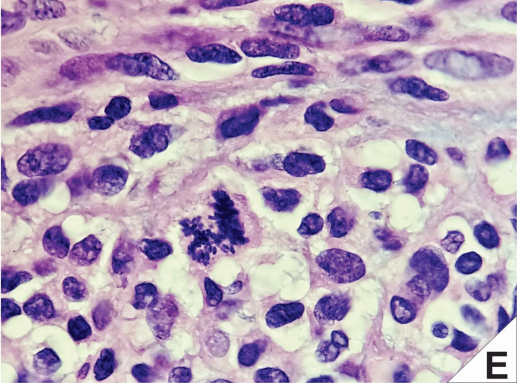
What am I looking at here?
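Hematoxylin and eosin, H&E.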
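This high-power field shows tumour cells whose nuclei are markedly pleomorphic, varying widely in size and shape and staining a dark purple. Near the centre lies an atypical mitotic figure, the chromosomes clumped in an irregular dark mass rather than a neat plate. In the lower part the cells are rounder, with pale, vacuolated cytoplasm, while along the top they are more elongated and set in a pink fibrillar background.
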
